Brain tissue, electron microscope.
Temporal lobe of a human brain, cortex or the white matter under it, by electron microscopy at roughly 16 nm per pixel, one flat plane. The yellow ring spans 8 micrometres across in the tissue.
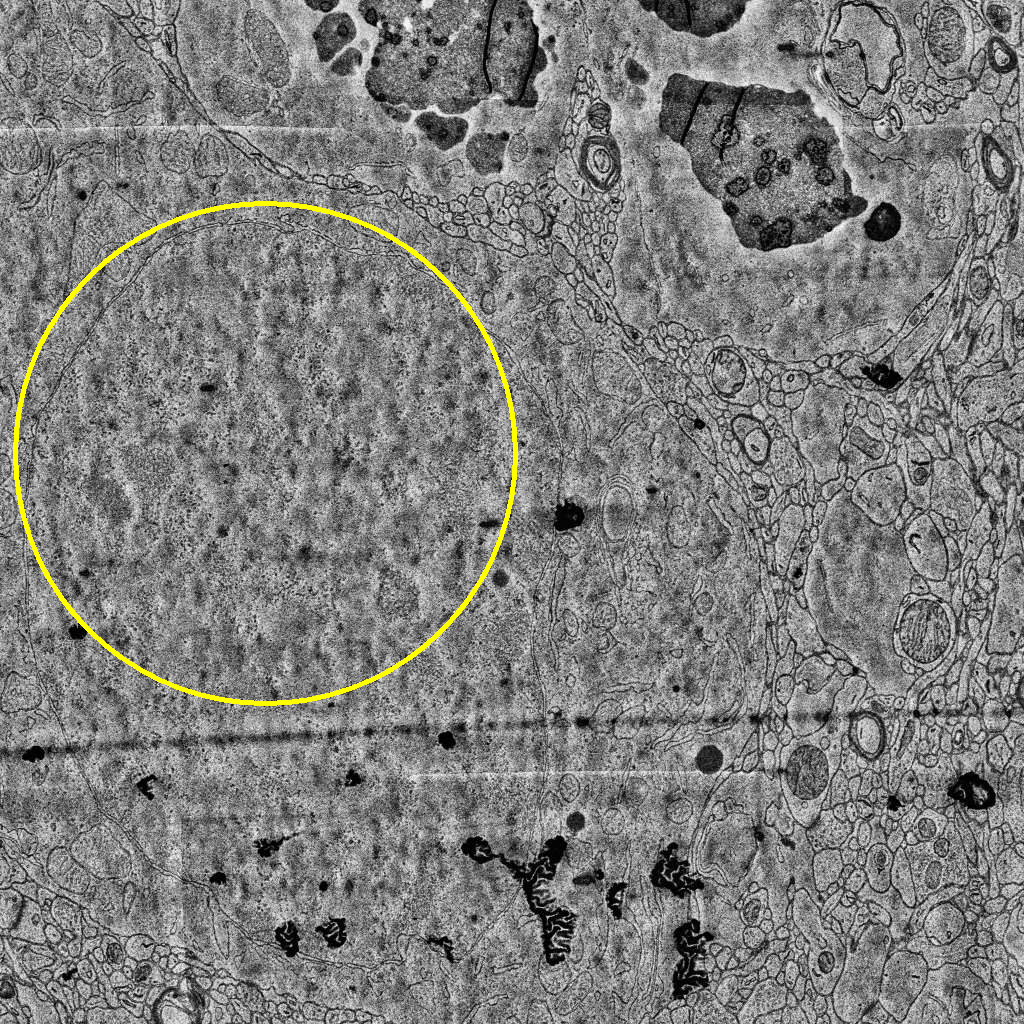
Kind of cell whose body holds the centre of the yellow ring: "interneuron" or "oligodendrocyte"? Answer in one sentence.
The ring's centre falls on an interneuron.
